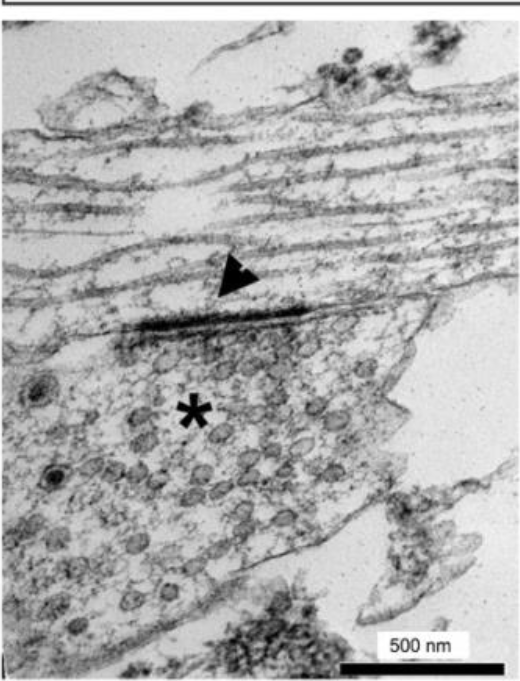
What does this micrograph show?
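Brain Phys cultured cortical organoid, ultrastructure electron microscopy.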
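This electron micrograph shows a synapse in neural tissue. A straight, dark, electron-dense thickening runs along the membranes where two profiles meet, marking the synaptic cleft. On one side of it, a terminal is packed with many small, round, clear vesicles of fairly uniform size.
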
